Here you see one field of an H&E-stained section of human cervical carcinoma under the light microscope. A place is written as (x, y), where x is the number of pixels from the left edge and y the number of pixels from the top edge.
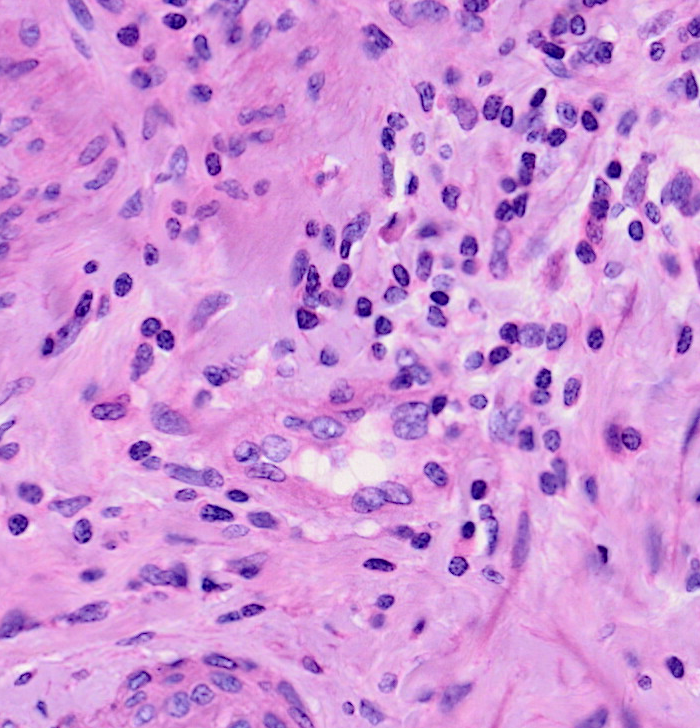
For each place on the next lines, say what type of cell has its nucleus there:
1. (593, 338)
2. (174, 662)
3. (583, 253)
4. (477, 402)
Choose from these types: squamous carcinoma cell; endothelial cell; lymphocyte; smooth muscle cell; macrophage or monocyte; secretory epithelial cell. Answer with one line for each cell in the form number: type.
1: lymphocyte
2: smooth muscle cell
3: lymphocyte
4: lymphocyte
